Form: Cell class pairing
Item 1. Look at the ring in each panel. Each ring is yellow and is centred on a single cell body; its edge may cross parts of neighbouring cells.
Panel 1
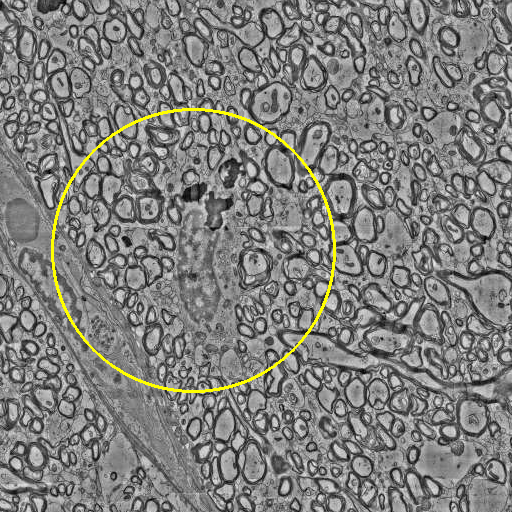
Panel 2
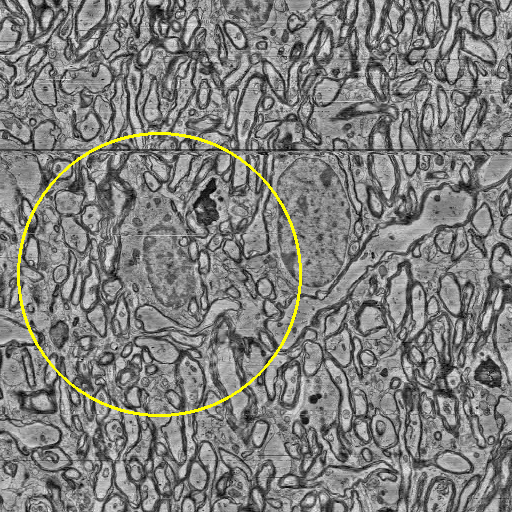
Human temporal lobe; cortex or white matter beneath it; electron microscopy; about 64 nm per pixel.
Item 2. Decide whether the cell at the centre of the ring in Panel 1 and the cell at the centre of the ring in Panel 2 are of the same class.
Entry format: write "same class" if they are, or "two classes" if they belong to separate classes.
same class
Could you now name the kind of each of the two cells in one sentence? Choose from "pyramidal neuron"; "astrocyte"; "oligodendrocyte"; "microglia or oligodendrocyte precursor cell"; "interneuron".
Each of the ringed cells, first and second, is an oligodendrocyte.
